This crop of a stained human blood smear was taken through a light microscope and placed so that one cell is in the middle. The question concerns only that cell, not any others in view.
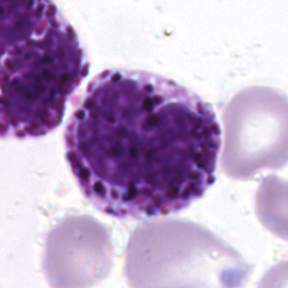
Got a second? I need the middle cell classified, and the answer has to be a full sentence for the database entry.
The middle of this crop is occupied by a basophil.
